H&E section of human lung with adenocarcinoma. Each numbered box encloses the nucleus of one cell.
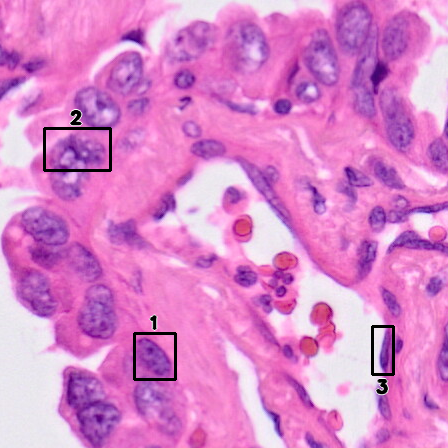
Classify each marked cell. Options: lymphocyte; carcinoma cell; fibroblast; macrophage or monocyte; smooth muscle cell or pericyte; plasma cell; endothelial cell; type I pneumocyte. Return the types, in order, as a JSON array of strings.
["carcinoma cell", "carcinoma cell", "endothelial cell"]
